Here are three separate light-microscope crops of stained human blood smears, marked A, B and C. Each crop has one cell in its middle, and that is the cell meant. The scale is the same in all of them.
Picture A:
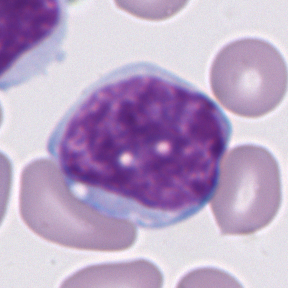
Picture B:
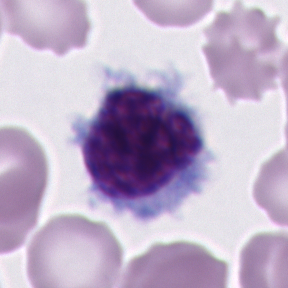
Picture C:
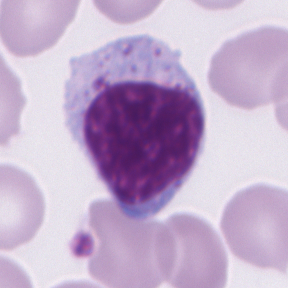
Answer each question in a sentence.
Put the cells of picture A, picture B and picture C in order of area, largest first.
Largest first: A, C, B.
